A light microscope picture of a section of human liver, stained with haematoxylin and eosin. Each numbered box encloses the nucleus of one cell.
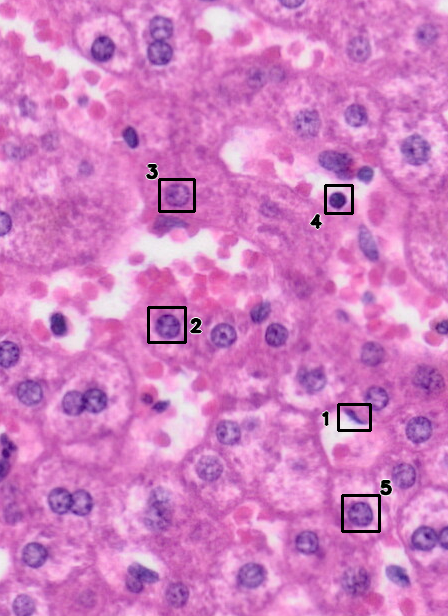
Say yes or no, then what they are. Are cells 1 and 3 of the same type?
No, cell 1 is an endothelial cell and cell 3 is a hepatocyte.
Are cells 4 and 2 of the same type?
No, cell 4 is a lymphocyte and cell 2 is a hepatocyte.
